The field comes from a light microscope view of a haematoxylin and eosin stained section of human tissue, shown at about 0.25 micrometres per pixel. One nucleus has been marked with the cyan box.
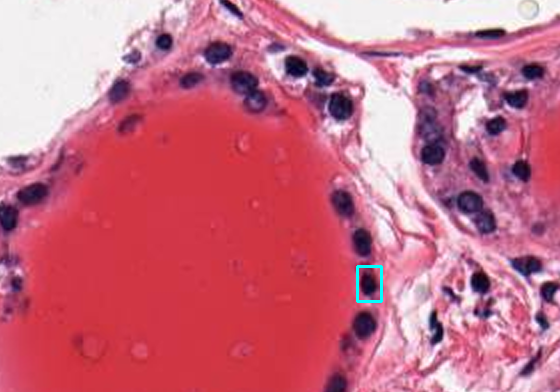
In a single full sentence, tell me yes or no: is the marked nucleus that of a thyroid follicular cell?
Yes, the marked nucleus is to be read as that of a thyroid follicular cell.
